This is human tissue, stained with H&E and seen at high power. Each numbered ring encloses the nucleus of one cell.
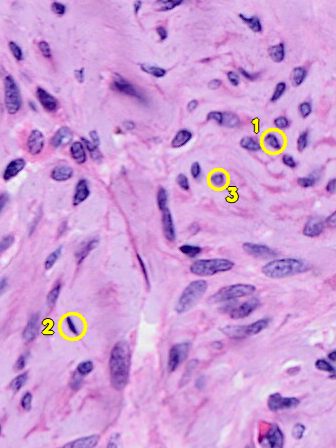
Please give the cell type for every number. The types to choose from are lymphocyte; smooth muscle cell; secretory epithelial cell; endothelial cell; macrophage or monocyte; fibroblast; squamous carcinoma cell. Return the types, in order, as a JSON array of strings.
["smooth muscle cell", "fibroblast", "smooth muscle cell"]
